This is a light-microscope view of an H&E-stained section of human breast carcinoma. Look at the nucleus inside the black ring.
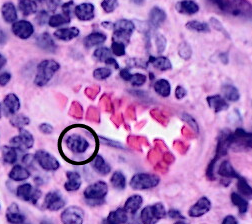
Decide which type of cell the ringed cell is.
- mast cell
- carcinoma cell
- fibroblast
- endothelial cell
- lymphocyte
lymphocyte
